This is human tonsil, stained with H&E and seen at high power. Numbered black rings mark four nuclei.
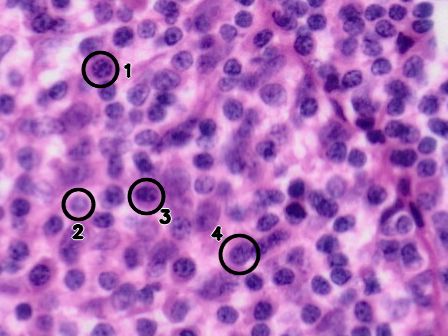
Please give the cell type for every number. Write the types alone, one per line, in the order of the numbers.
plasma cell
squamous epithelial cell
plasma cell
plasma cell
